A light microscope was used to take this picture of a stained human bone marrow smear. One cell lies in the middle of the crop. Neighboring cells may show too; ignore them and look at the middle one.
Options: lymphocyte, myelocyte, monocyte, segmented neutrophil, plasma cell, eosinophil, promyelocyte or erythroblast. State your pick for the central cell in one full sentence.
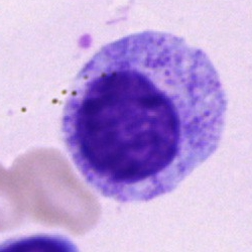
The crop centres on a single cell, and that cell is a myelocyte.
